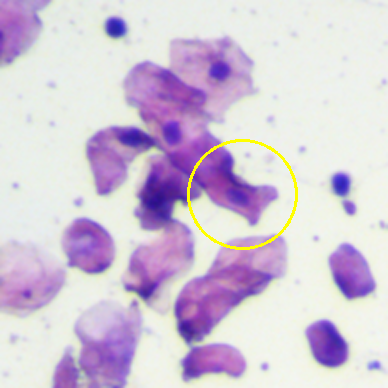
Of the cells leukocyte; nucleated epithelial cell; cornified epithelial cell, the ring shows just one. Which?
The ring shows a nucleated epithelial cell.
